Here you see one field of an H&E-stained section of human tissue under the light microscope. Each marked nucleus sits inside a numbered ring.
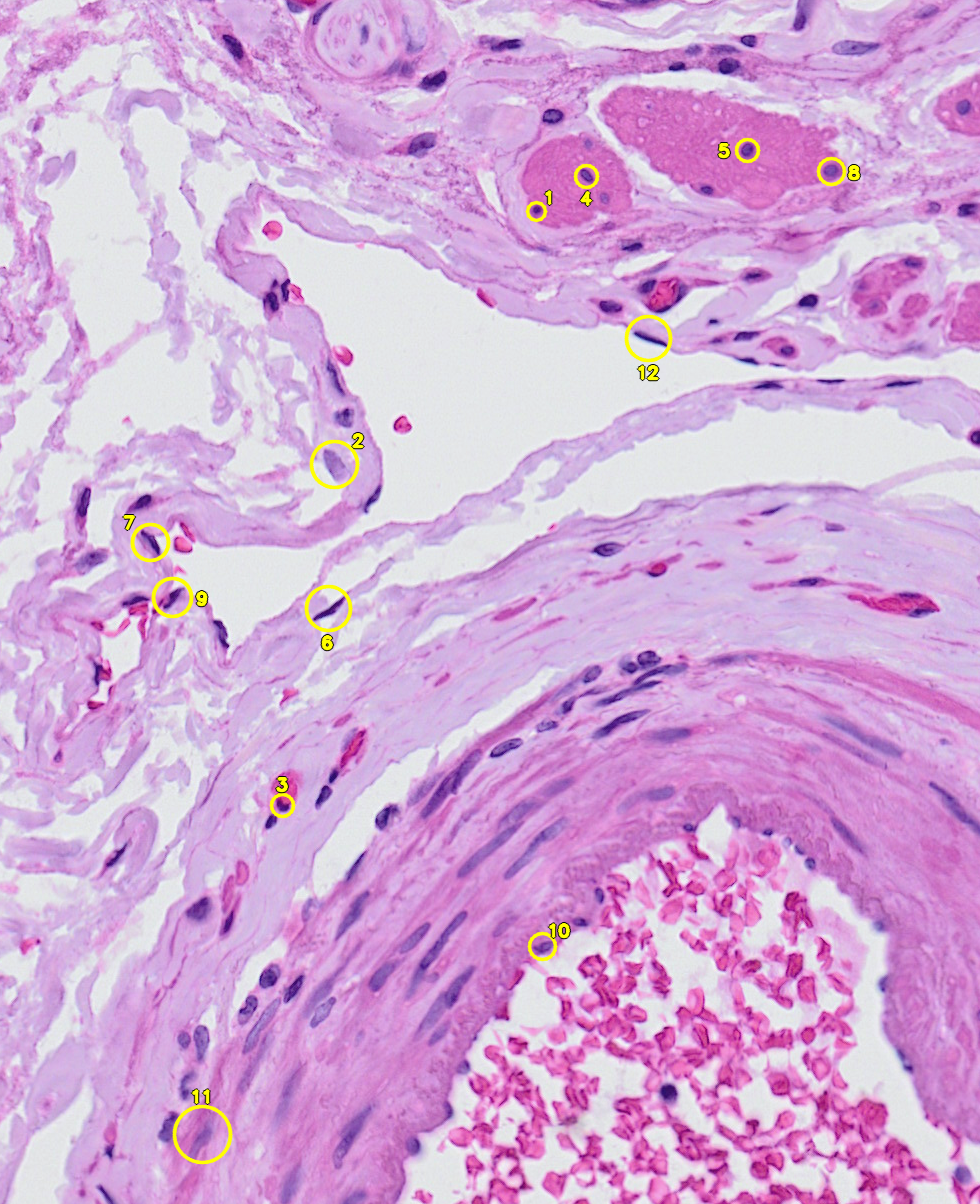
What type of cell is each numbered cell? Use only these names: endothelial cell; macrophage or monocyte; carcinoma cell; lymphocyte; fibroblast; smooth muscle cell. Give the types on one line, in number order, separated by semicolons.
smooth muscle cell; fibroblast; endothelial cell; smooth muscle cell; smooth muscle cell; fibroblast; endothelial cell; smooth muscle cell; endothelial cell; endothelial cell; smooth muscle cell; endothelial cell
